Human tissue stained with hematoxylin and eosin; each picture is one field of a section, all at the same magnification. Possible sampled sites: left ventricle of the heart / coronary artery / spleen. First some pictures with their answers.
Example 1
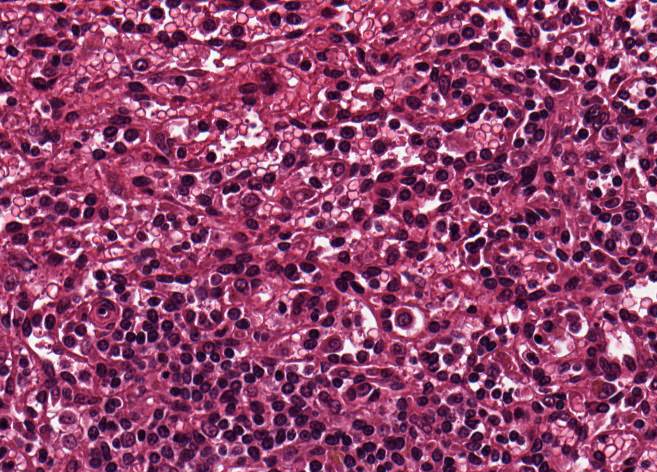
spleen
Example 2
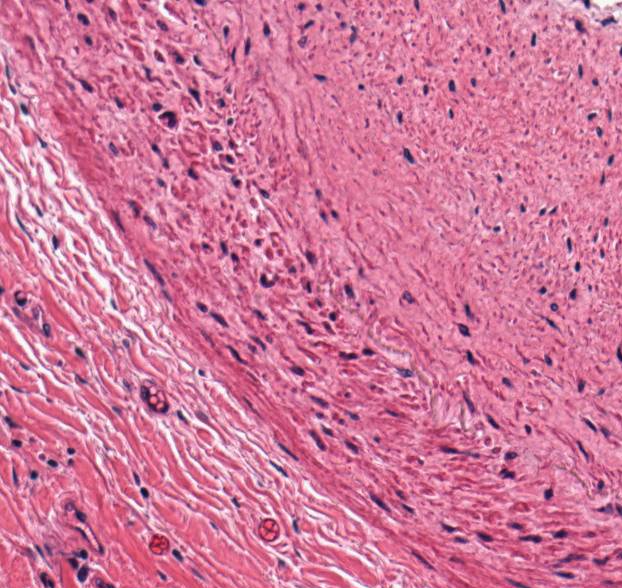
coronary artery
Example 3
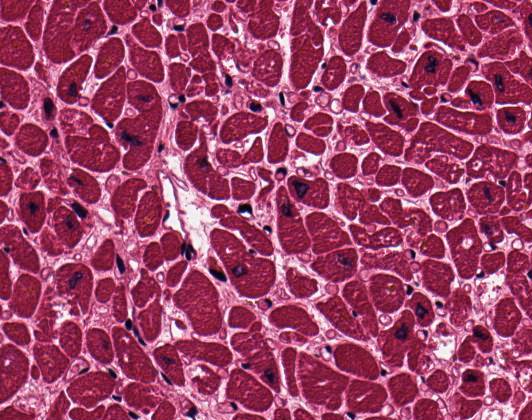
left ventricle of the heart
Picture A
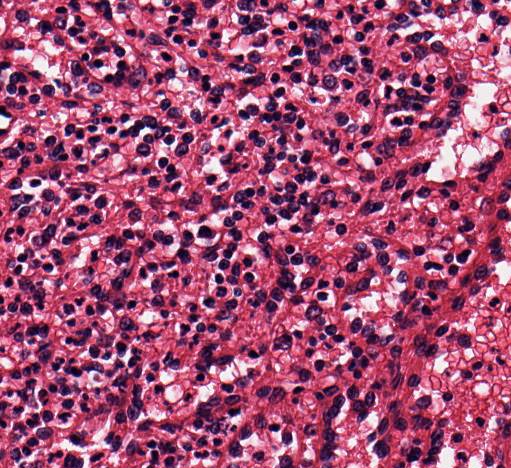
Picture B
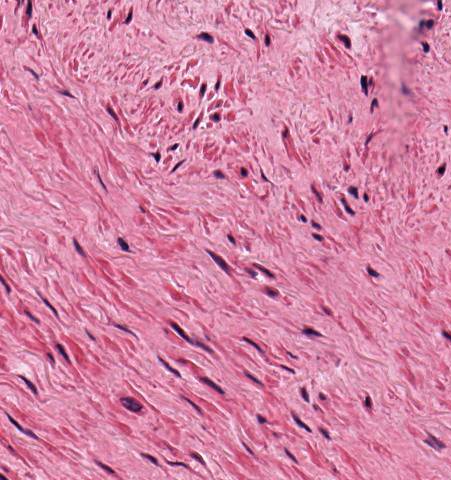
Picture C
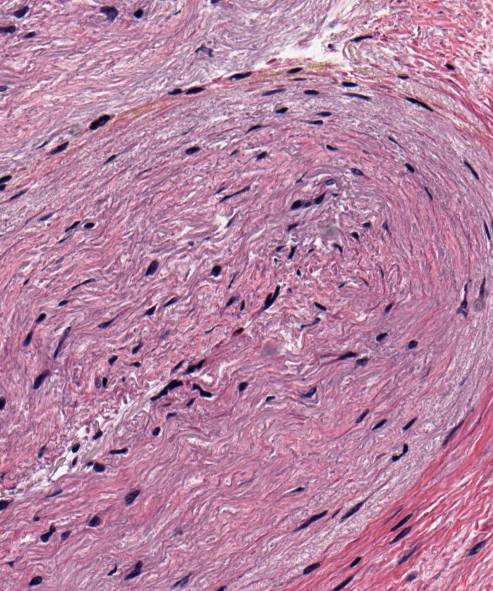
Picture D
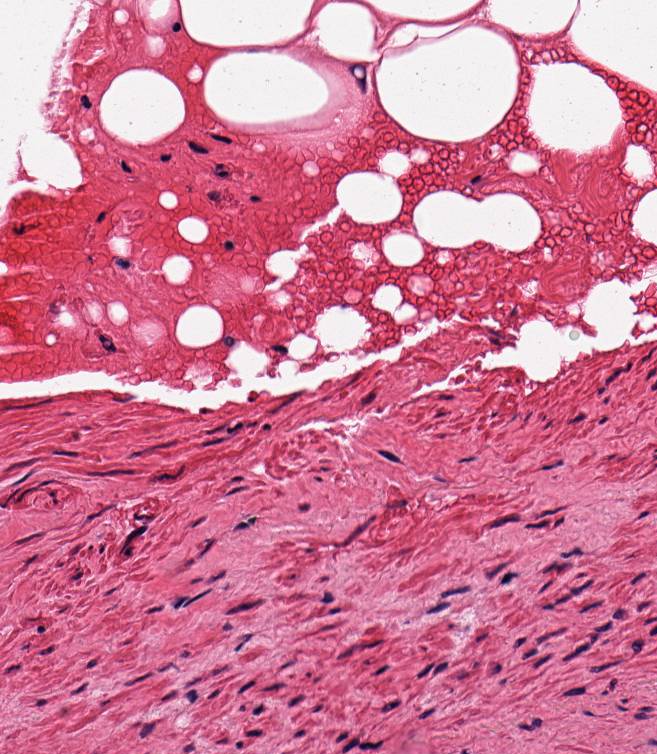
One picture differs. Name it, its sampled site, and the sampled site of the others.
Exception: A, showing spleen. Remaining pictures: coronary artery.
